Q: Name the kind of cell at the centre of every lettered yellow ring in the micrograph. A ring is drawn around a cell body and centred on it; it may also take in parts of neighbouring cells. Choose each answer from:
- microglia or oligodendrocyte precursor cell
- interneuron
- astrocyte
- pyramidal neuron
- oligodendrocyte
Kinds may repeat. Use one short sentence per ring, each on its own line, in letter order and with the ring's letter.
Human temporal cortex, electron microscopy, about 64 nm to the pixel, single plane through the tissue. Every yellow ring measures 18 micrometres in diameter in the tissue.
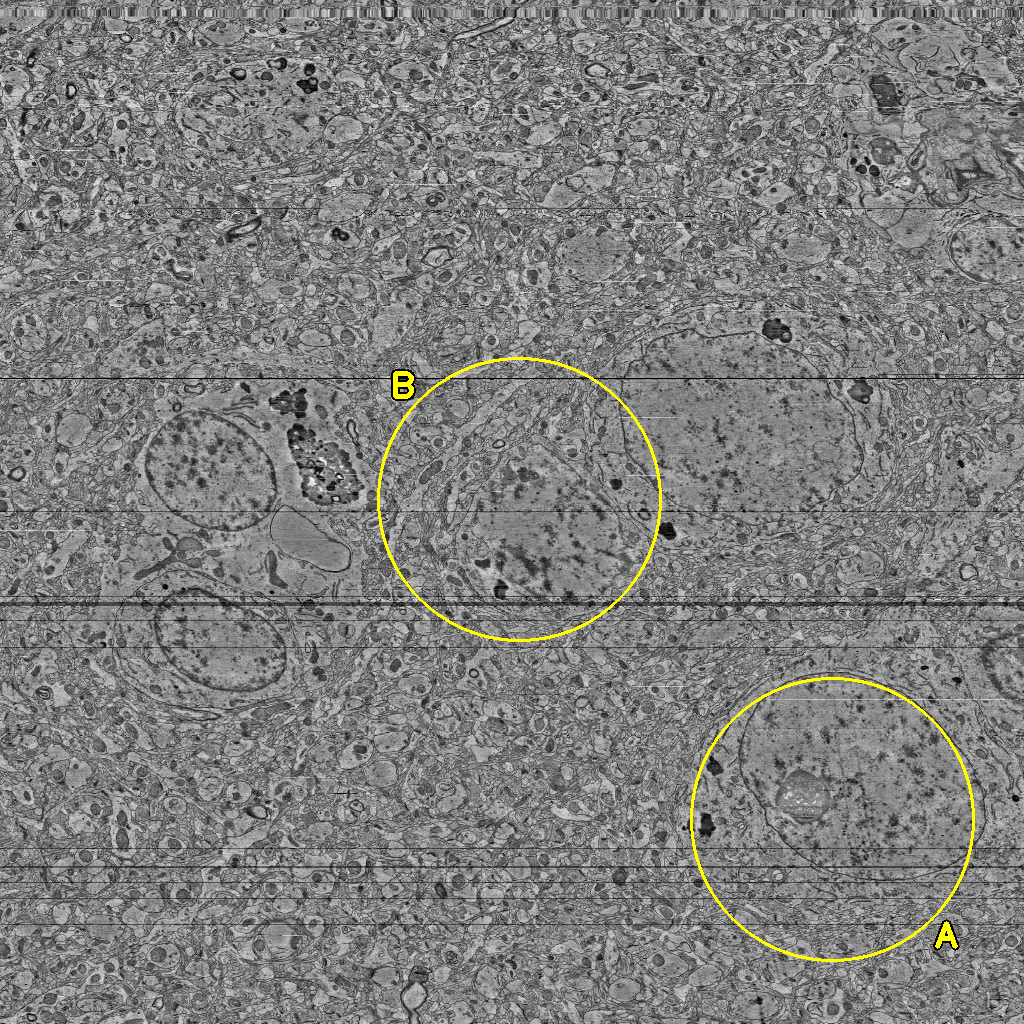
Ring A is placed around a pyramidal neuron.
Ring B is placed around an interneuron.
